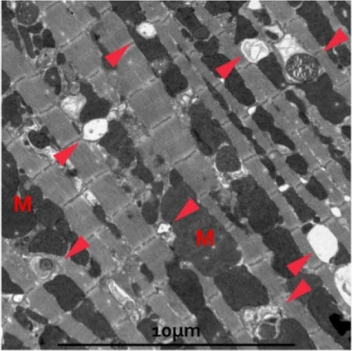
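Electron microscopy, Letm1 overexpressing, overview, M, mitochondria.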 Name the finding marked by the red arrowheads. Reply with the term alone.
Large vacuoles.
